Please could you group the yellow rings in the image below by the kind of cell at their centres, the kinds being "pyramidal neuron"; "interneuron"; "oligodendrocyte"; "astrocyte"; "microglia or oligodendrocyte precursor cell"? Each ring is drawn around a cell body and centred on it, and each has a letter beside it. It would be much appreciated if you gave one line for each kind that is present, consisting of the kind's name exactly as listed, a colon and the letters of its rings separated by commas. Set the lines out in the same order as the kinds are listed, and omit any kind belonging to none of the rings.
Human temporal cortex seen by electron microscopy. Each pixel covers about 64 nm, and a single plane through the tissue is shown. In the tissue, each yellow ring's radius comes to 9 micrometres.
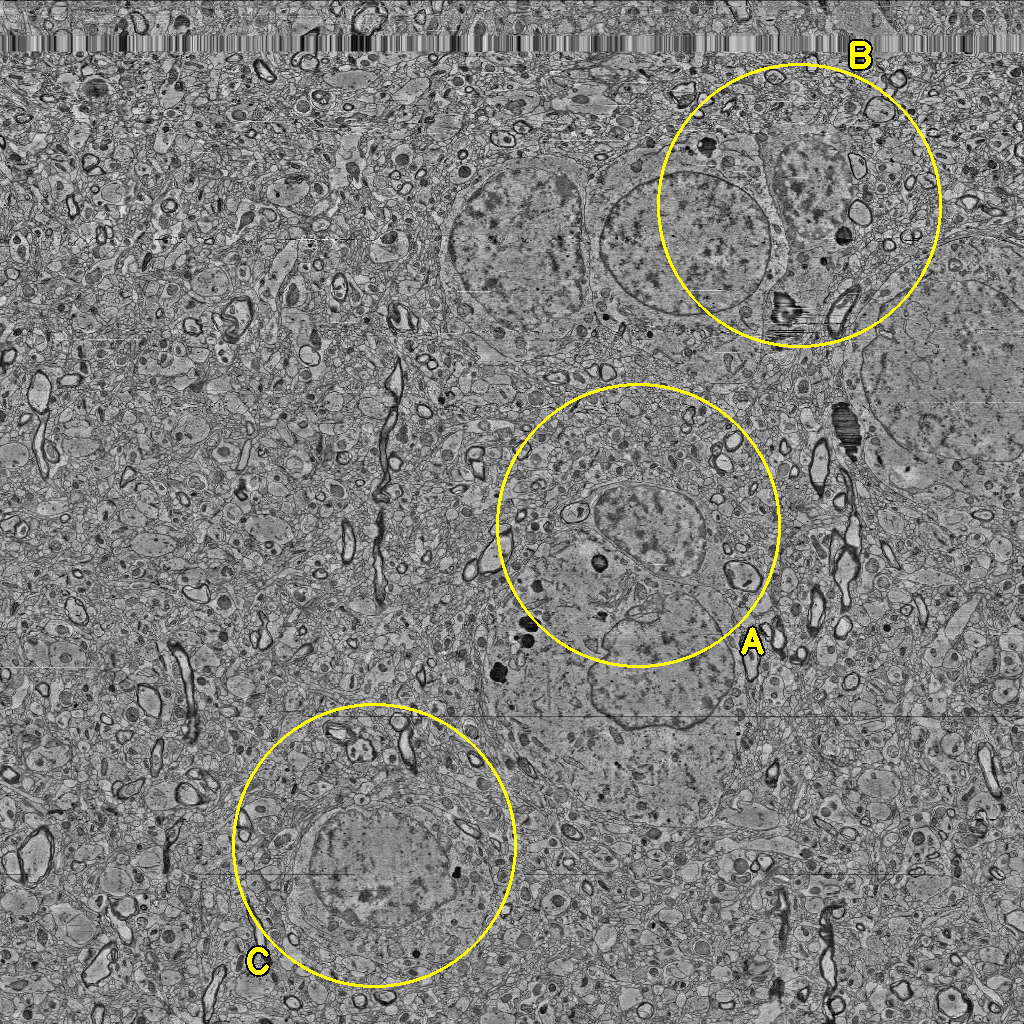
interneuron: C
oligodendrocyte: A, B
